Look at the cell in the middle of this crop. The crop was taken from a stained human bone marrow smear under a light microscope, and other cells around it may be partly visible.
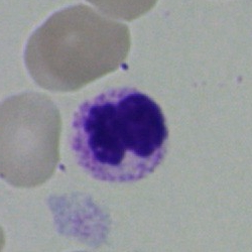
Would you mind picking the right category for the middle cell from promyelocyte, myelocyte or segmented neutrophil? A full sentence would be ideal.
The central element of this crop is a cell, namely a segmented neutrophil.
